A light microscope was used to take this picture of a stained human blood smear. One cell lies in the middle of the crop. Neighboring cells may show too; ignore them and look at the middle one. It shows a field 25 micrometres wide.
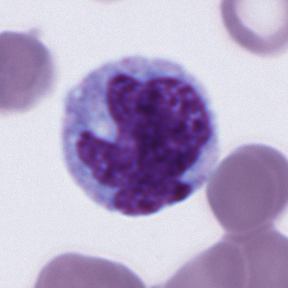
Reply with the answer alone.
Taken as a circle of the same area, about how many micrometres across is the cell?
14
